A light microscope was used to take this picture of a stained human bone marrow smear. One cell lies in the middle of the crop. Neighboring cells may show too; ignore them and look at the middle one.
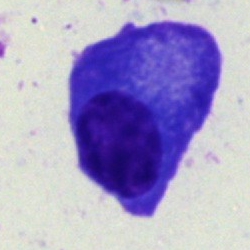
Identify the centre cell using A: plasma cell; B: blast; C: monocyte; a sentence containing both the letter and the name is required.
The correct choice is option A, which identifies the middle cell as a plasma cell.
